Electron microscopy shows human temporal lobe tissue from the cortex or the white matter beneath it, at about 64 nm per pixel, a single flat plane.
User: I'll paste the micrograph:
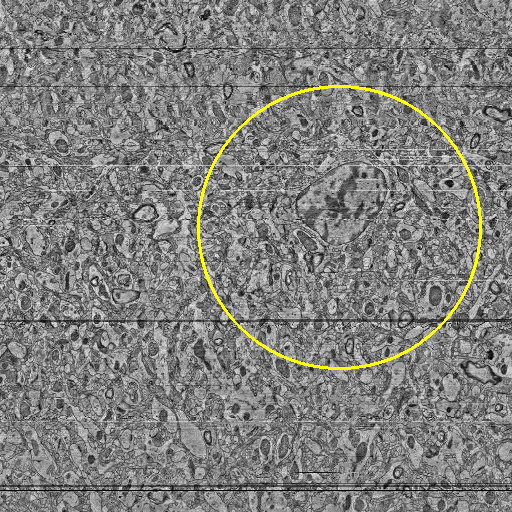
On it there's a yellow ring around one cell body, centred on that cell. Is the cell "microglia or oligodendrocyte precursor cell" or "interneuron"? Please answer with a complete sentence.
The cell ringed in yellow is a microglial cell or oligodendrocyte precursor cell.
